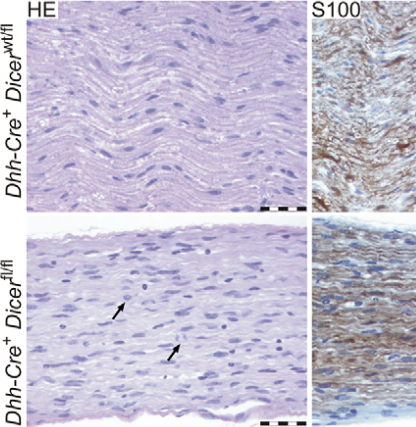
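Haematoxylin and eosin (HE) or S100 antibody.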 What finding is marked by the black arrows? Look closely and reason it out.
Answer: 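These nuclei differ from the surrounding elongated, spindle-shaped nuclei.
Mitotic events.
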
